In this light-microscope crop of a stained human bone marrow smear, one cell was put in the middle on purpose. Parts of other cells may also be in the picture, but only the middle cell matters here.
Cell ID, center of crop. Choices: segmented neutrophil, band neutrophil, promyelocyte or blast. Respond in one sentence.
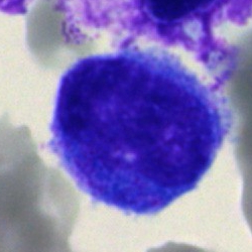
Classified as a promyelocyte is the cell in the middle of this crop.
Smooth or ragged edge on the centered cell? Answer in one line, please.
Irregularity marks the cell border, whether as raggedness or as projections.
